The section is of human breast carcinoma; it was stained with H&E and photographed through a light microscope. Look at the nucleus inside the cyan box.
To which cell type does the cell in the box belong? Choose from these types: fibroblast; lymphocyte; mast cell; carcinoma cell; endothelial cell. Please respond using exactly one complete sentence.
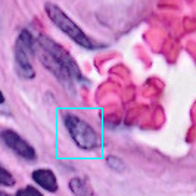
In this preparation, the cell in the box is an endothelial cell.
